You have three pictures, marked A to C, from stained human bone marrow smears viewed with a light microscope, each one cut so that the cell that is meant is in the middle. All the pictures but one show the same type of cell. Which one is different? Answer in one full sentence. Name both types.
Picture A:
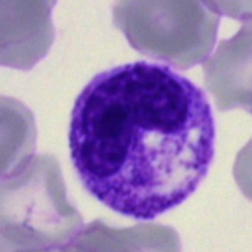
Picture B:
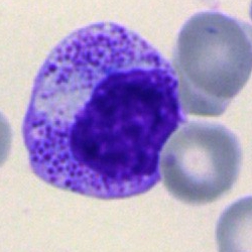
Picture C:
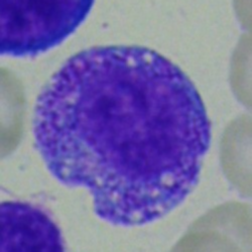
Picture A differs, because its cell is a metamyelocyte and the rest are myelocytes.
